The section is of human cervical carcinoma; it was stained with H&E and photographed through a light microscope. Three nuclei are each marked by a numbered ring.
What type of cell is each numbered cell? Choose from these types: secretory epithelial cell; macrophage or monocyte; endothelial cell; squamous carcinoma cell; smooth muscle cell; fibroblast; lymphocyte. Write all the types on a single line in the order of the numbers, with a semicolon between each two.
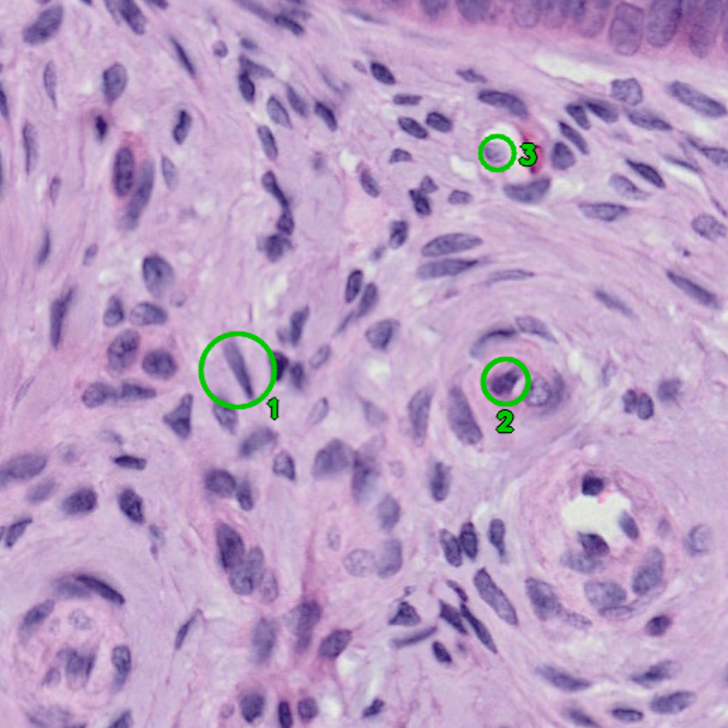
fibroblast; endothelial cell; endothelial cell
